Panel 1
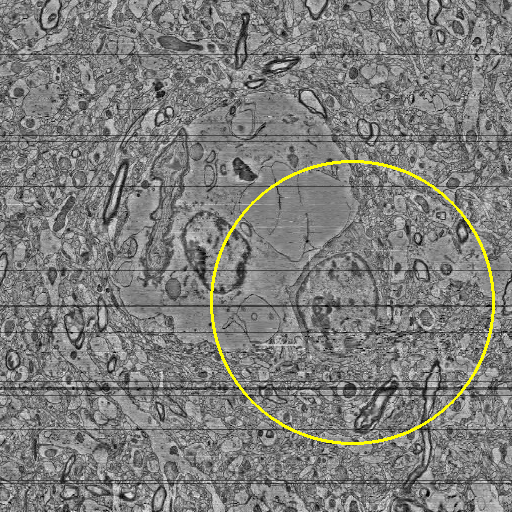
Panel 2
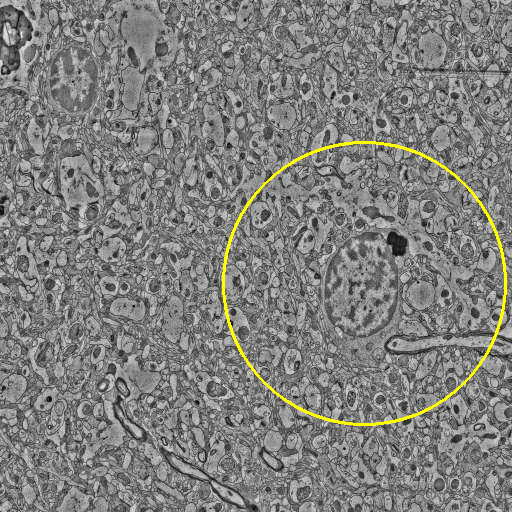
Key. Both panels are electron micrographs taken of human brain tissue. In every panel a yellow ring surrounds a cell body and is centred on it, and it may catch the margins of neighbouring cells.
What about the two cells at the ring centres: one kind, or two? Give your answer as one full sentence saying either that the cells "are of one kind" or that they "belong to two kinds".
Across Panels 1 and 2, the two cells at the ring centres are of one kind.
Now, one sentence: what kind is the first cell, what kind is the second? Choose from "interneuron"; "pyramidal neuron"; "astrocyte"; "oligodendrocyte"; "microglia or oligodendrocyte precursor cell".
Each of the ringed cells, first and second, is an oligodendrocyte.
